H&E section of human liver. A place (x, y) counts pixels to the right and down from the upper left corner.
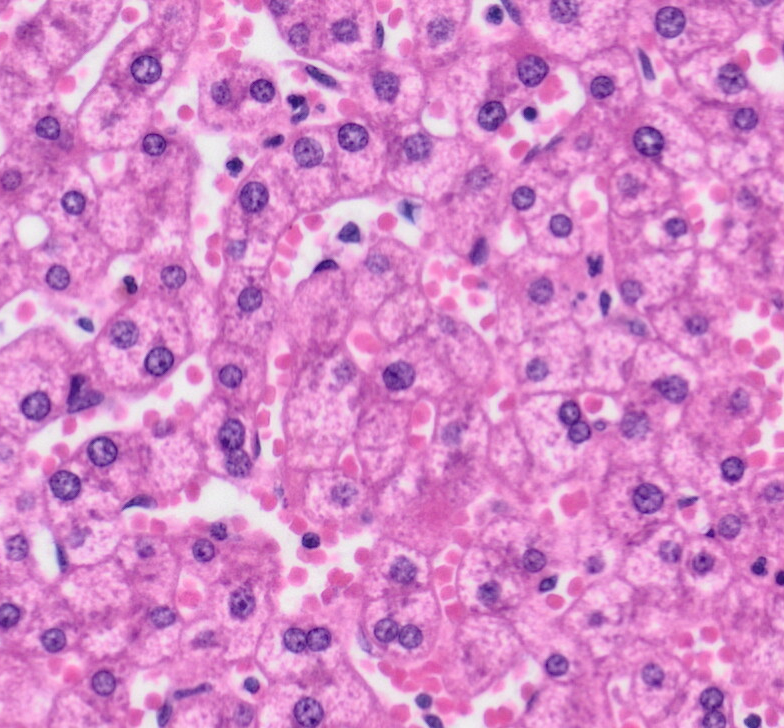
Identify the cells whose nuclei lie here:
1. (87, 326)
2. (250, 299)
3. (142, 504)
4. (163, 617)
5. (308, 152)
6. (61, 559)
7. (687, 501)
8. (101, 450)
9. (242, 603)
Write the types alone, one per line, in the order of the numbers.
lymphocyte
hepatocyte
endothelial cell
hepatocyte
hepatocyte
endothelial cell
endothelial cell
hepatocyte
hepatocyte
